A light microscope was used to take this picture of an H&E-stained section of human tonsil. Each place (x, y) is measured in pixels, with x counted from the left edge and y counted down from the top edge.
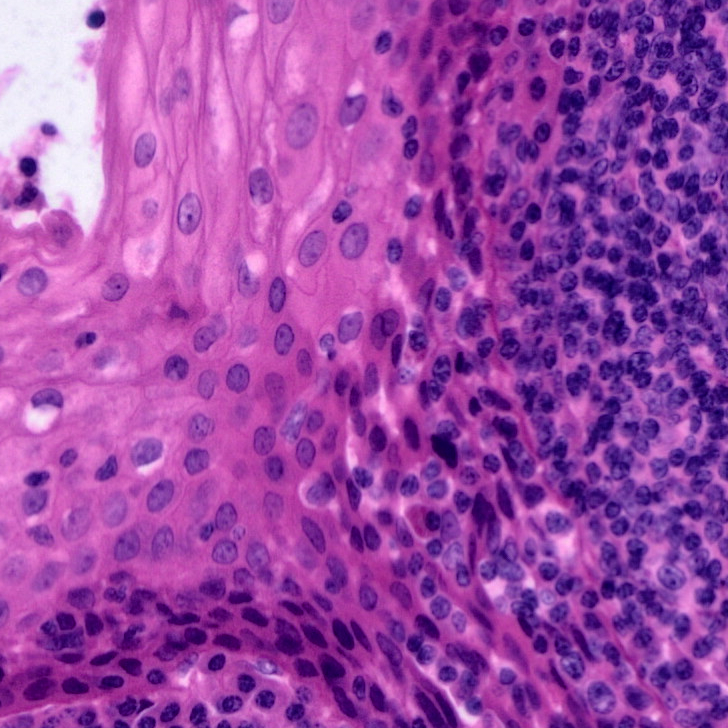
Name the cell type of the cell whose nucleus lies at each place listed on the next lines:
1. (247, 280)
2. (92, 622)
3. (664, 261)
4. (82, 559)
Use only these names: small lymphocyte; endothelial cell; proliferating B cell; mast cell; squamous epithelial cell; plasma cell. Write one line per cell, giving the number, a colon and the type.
1: squamous epithelial cell
2: squamous epithelial cell
3: small lymphocyte
4: squamous epithelial cell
